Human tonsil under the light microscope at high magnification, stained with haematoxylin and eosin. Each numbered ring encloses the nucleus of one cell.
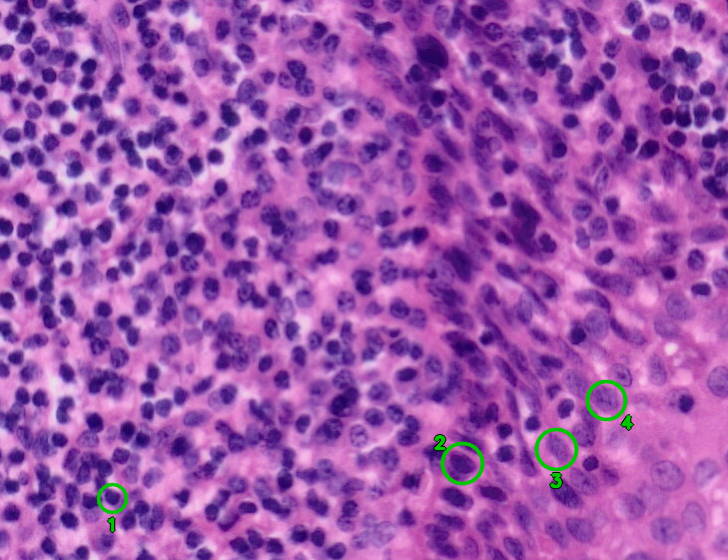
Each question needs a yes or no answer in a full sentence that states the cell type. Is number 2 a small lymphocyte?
No, cell 2 should be classed as a squamous epithelial cell, not as a small lymphocyte.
